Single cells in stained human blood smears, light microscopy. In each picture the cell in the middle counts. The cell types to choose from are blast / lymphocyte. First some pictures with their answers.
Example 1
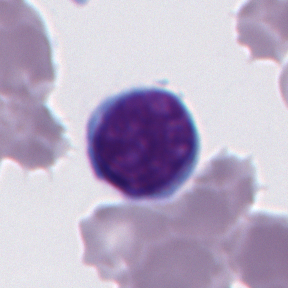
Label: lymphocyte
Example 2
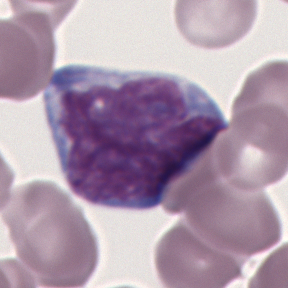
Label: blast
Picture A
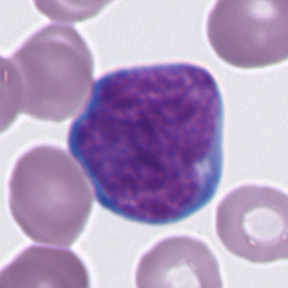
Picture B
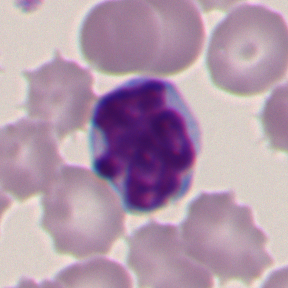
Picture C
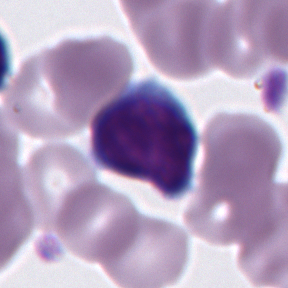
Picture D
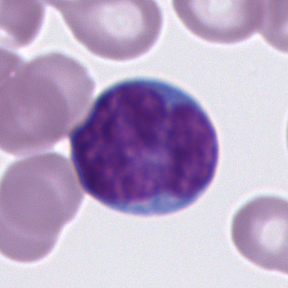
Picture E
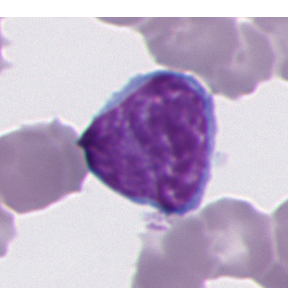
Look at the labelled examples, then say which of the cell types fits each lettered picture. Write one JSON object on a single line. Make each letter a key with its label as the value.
{"A": "blast", "B": "lymphocyte", "C": "lymphocyte", "D": "blast", "E": "lymphocyte"}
